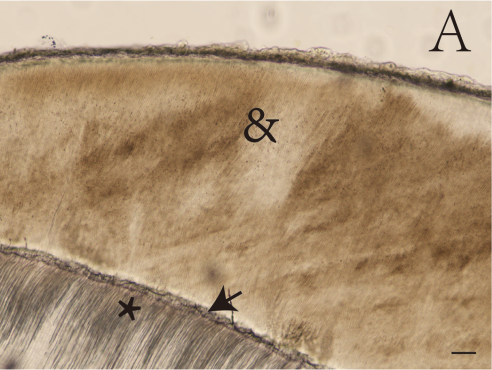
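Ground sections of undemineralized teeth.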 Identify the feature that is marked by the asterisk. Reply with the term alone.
Dentin tubules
